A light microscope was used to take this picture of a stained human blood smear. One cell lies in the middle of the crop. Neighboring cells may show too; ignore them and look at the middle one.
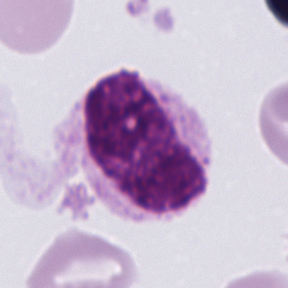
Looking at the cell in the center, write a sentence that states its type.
As for the central cell, it is a band neutrophil.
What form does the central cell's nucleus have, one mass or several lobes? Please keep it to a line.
Its nucleus is compact and single, with a round, oval or kidney-shaped form.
